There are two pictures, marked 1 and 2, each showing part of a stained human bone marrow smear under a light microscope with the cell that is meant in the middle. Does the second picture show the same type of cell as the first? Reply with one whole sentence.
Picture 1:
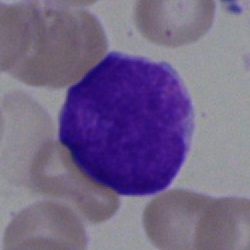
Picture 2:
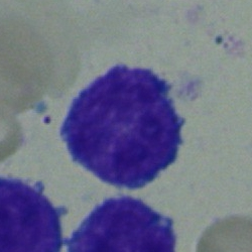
Yes, both are blasts.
